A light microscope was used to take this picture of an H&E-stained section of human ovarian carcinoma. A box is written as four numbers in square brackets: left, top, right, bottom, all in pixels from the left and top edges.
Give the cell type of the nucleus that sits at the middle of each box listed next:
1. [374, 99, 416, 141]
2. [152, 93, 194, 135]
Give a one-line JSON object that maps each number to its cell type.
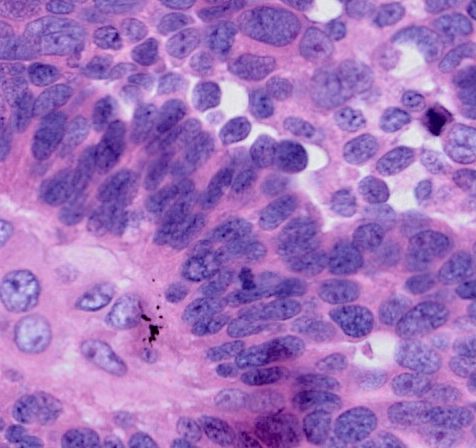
{"1": "macrophage or monocyte", "2": "carcinoma cell"}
